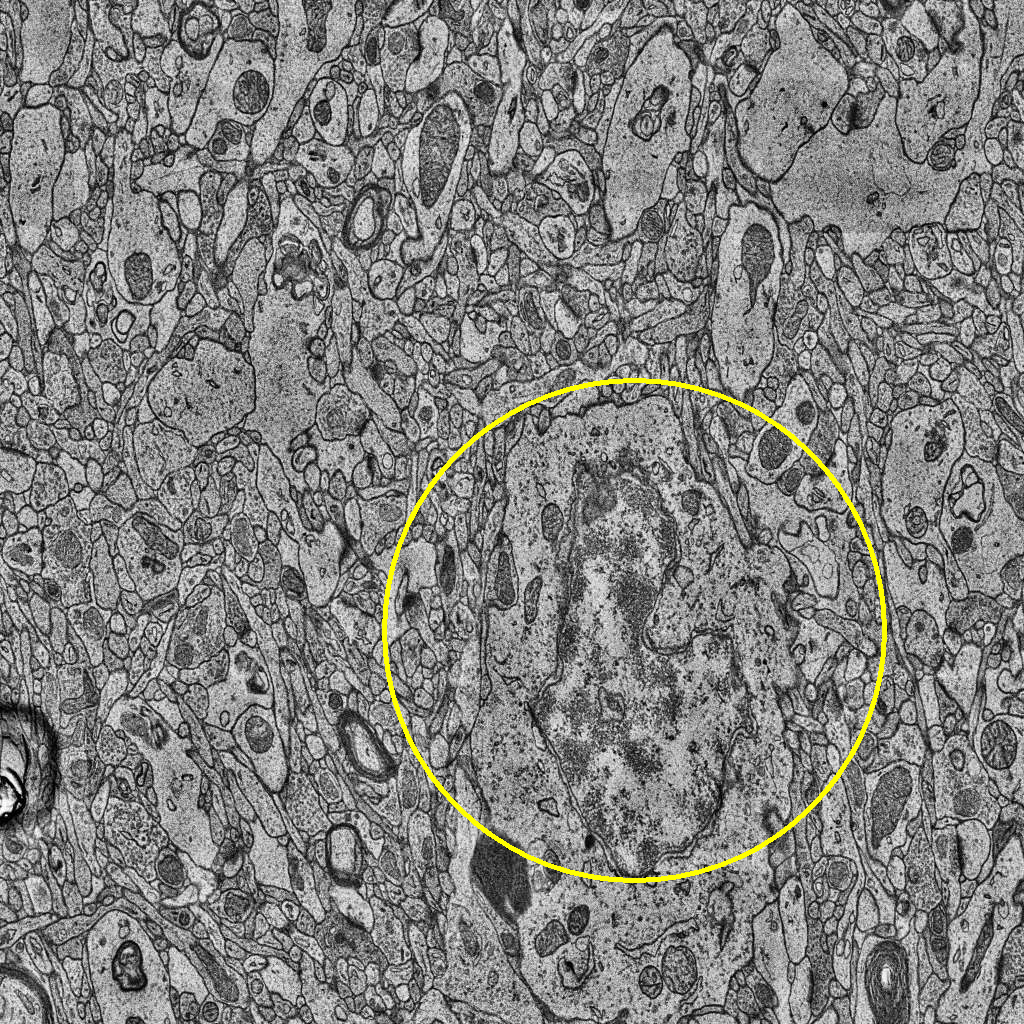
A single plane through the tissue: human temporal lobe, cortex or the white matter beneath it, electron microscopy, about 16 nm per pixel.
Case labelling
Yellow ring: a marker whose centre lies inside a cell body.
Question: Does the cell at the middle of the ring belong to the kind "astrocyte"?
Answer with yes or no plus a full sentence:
No, in this picture the cell at the middle of the yellow ring belongs to a different kind.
